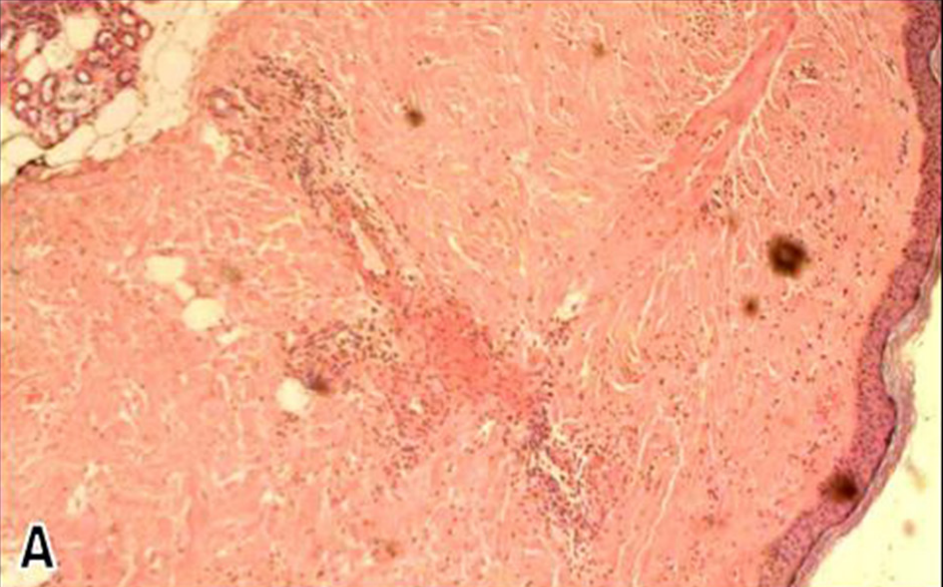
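Skin is seen with a thin epidermis along the right edge and a broad pink dermis, with fat and sweat gland coils at the top left. Within the dermis, dense cuffs of small dark nuclei follow the vessels, and a smudgy deeper pink material sits at the centre of these cuffs. This is an inflammatory infiltrate with fibrinoid necrosis around dermal blood vessels, the pattern of leucocytoclastic vasculitis.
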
